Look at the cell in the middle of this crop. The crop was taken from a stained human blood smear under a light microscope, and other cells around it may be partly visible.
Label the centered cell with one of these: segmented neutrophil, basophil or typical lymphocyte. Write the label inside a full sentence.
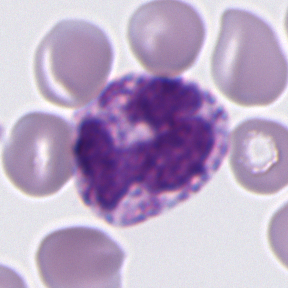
Present in the middle of the crop is a basophil.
